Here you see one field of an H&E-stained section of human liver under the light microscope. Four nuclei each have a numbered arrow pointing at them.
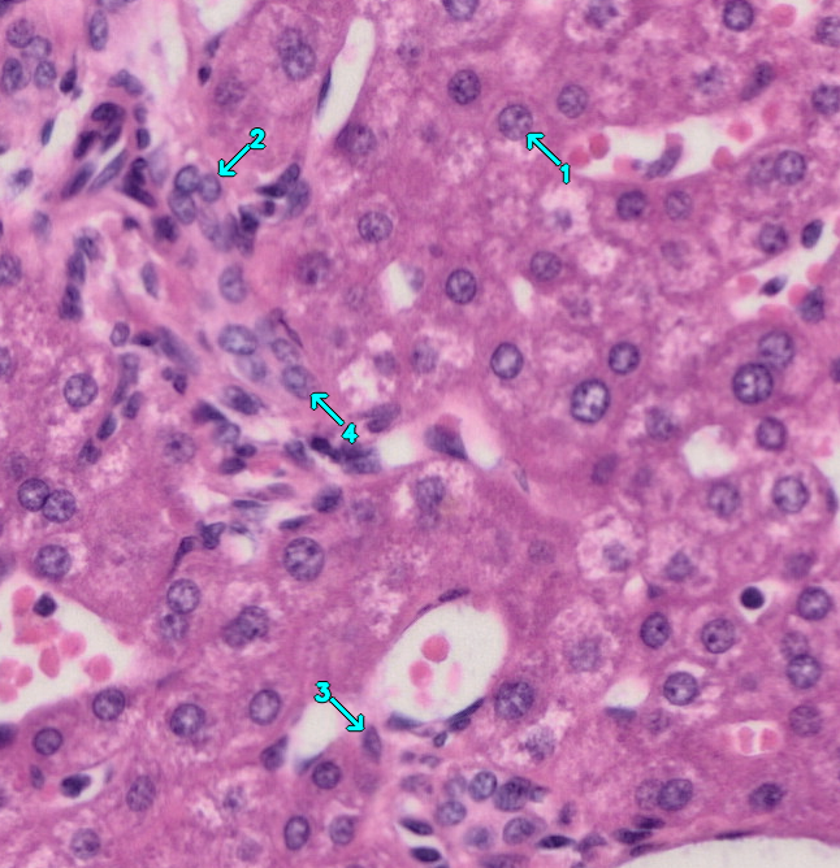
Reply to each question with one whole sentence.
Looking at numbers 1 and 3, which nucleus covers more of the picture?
Of the two, number 1 is bigger and takes up about 2 times the area of number 3.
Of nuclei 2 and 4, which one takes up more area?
Nucleus 4 covers more area, about 1.5 times as much as nucleus 2.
